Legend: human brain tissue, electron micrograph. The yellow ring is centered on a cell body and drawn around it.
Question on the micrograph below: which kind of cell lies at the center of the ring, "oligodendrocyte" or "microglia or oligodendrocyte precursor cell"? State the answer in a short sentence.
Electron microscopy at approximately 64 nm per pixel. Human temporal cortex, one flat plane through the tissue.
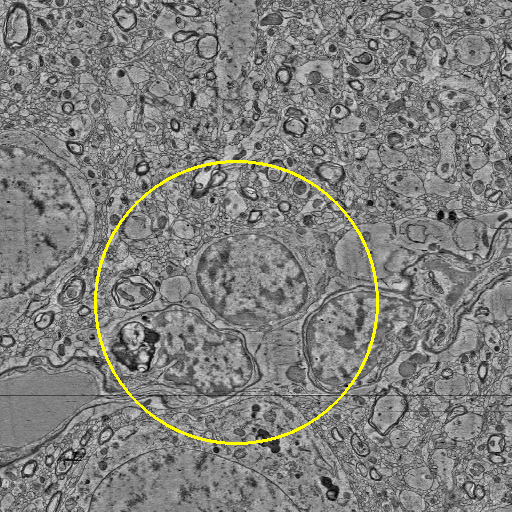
At the center of the ring lies an oligodendrocyte.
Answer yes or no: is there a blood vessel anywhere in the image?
Yes, a blood vessel shows in the picture.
